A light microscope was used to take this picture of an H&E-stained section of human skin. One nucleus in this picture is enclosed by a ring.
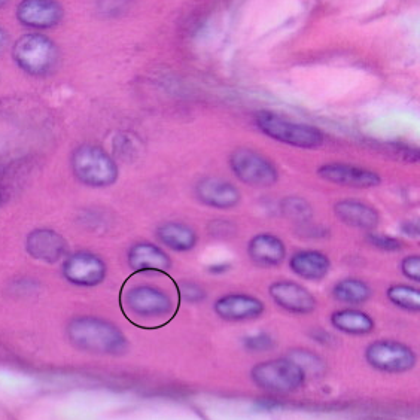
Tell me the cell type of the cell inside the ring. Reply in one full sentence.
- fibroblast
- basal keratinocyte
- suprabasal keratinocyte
It is a suprabasal keratinocyte that the cell inside the ring represents.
